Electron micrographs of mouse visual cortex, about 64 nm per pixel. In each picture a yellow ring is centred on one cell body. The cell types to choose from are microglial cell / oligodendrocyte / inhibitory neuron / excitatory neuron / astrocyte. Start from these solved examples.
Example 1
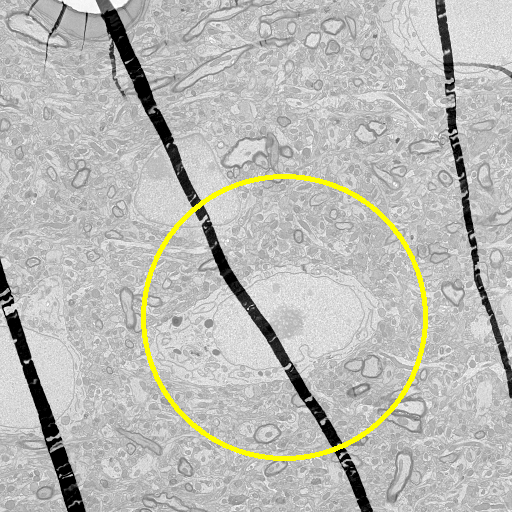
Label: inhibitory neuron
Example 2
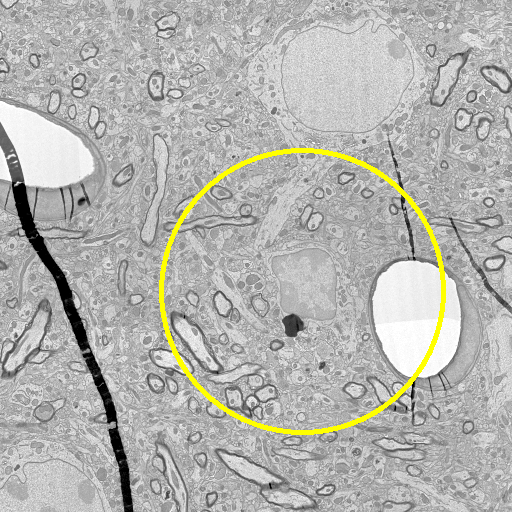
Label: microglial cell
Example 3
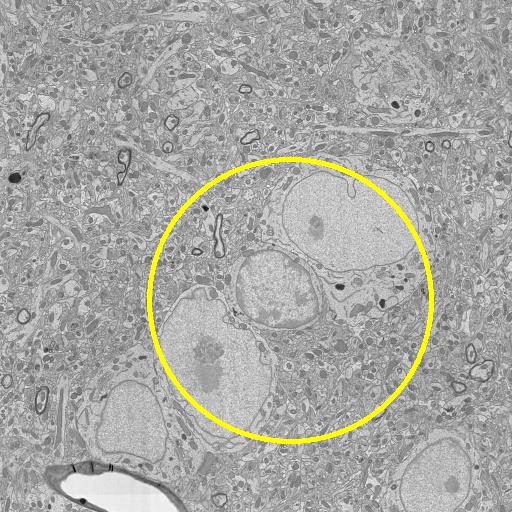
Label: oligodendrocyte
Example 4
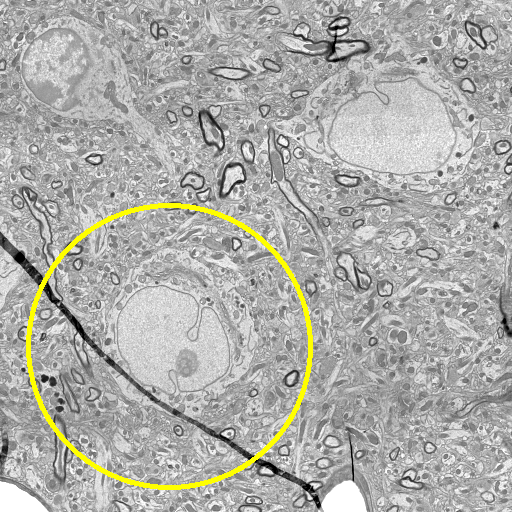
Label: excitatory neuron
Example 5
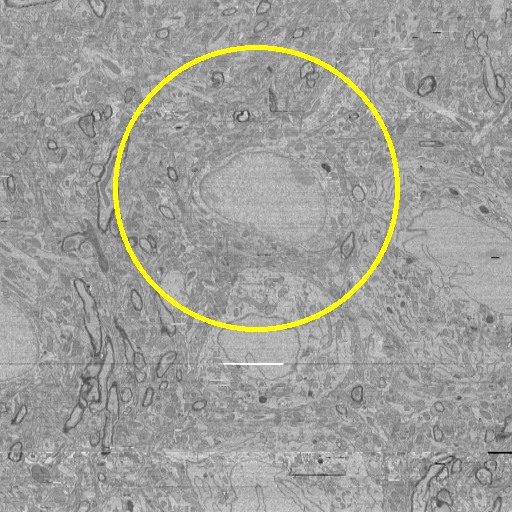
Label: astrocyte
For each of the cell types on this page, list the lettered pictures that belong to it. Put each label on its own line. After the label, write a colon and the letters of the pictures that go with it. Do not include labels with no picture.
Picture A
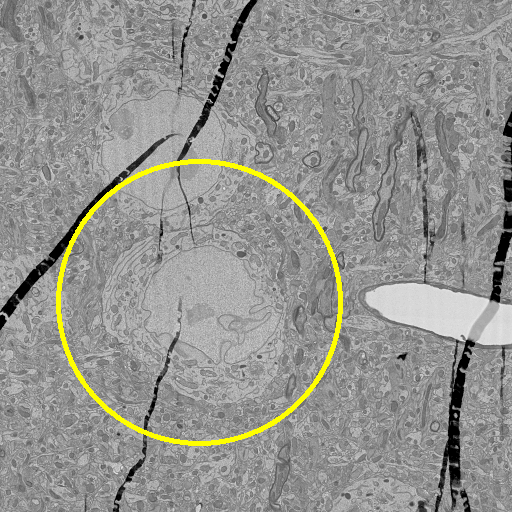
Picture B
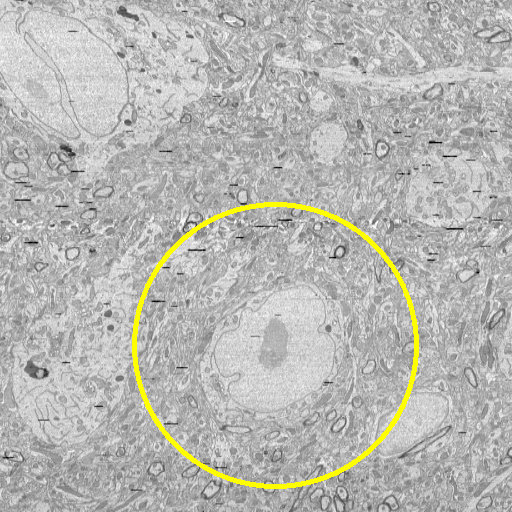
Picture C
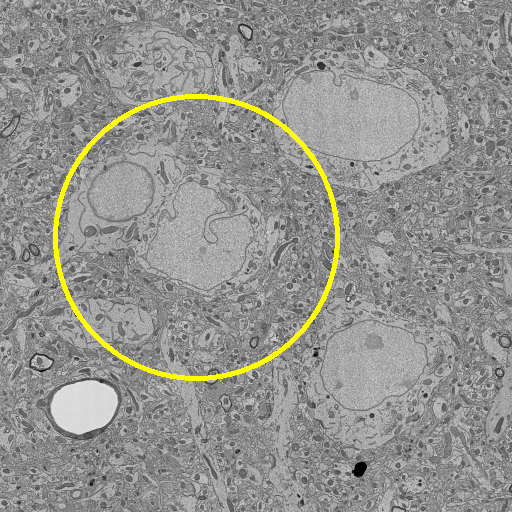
inhibitory neuron: A, C
excitatory neuron: B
